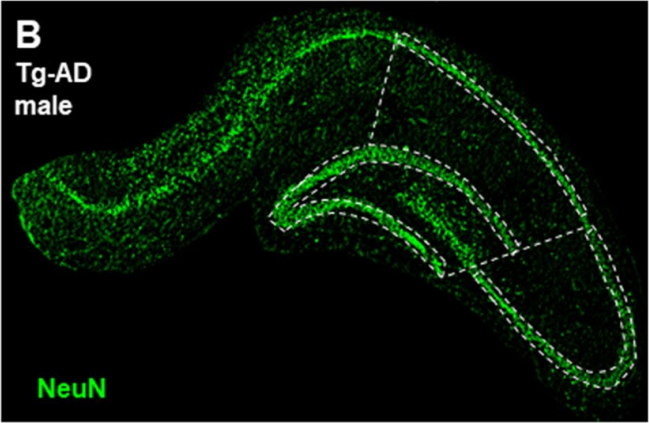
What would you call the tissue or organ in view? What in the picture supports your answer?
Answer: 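A curved, C-shaped cortical structure with a long continuous band of densely packed green neurons. A smaller, tighter V-shaped band of green neurons sits inside the curve of the long band. So: hippocampus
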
